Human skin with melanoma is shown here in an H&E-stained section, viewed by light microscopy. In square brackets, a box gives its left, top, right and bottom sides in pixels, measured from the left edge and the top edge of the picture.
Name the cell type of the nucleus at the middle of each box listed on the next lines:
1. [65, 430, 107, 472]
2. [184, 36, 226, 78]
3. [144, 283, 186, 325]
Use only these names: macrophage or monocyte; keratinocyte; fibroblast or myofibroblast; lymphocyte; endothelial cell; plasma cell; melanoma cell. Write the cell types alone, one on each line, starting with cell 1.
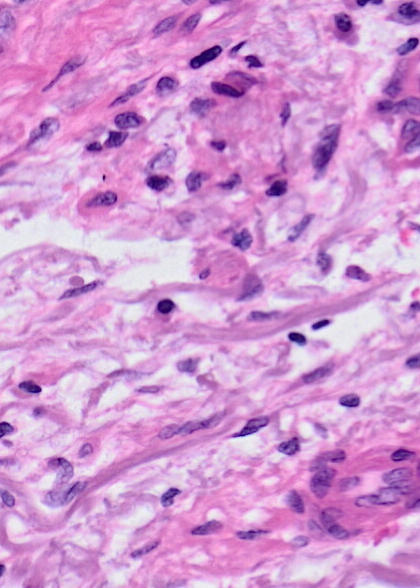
macrophage or monocyte
lymphocyte
plasma cell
